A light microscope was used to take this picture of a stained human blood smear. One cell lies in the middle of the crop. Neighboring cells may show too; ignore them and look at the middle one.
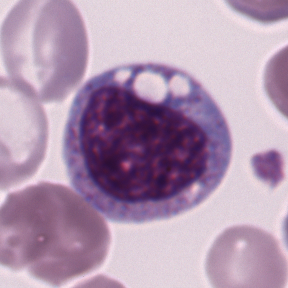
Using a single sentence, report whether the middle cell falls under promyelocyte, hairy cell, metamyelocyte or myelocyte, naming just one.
The centered cell in this crop is a promyelocyte.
